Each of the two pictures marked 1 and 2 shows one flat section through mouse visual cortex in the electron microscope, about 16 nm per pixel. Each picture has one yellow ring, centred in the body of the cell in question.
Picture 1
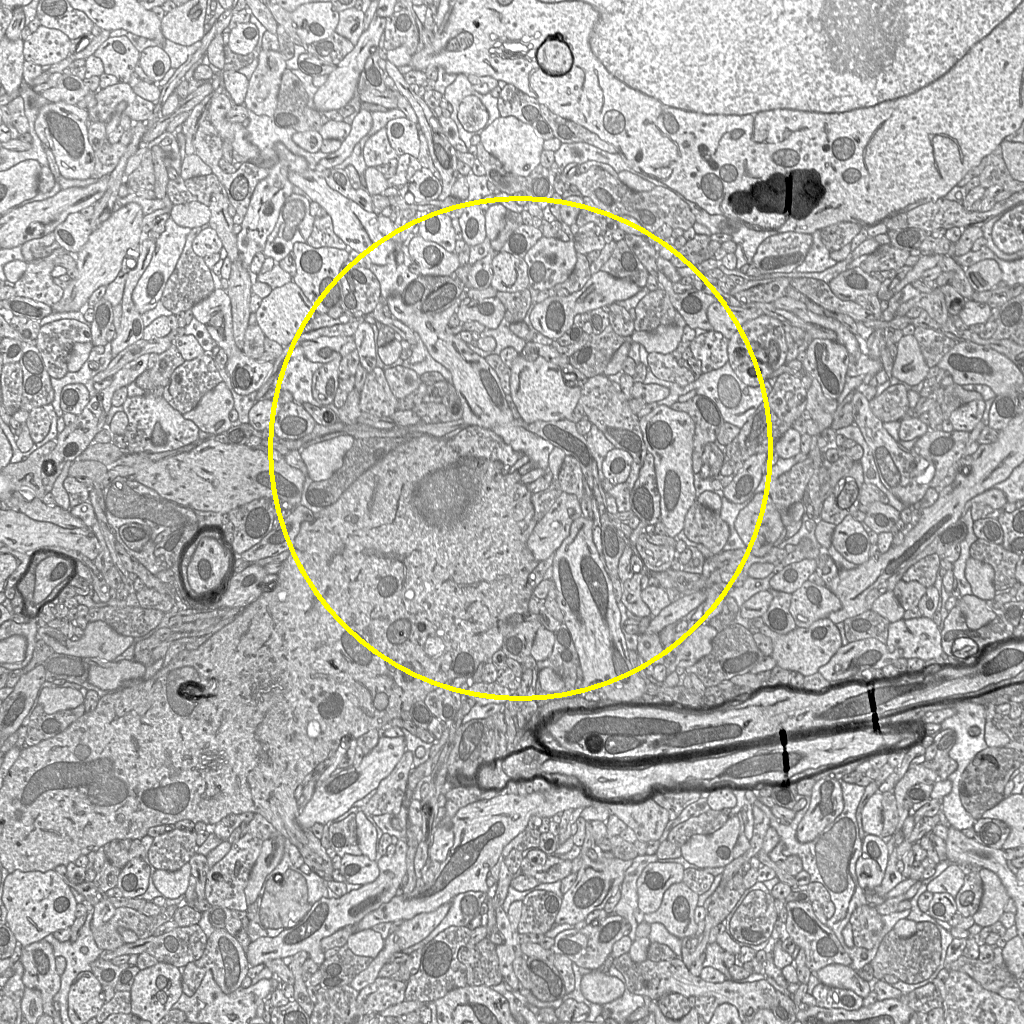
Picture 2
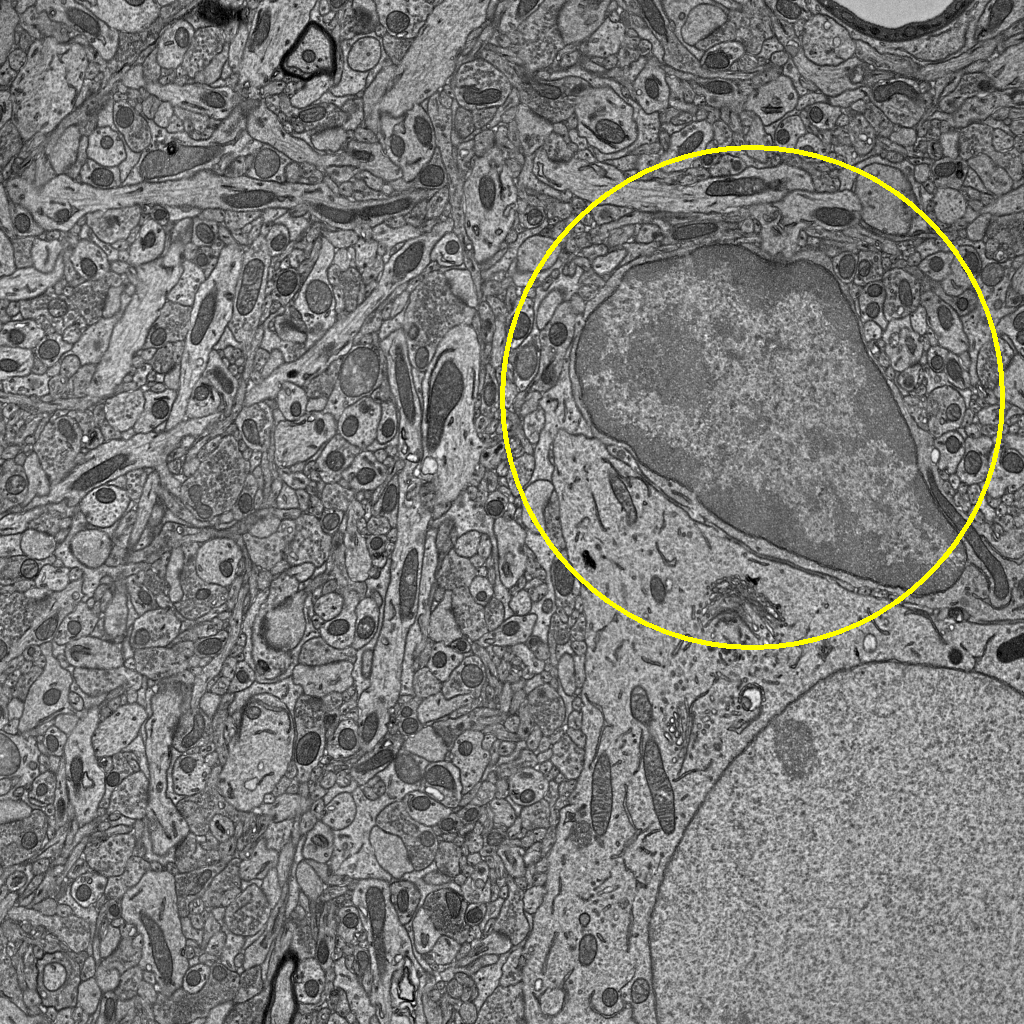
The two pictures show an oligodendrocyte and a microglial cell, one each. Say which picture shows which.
The cell in picture 1 is an oligodendrocyte, and the one in picture 2 is a microglial cell.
